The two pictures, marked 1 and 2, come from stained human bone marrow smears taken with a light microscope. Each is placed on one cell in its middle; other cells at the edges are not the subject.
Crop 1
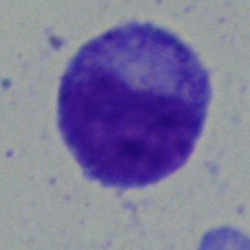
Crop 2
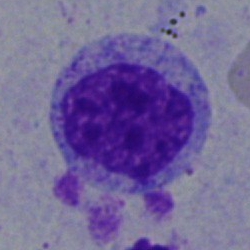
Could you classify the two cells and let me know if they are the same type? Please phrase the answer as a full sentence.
Yes, the cells of interest in both crops are myelocytes.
